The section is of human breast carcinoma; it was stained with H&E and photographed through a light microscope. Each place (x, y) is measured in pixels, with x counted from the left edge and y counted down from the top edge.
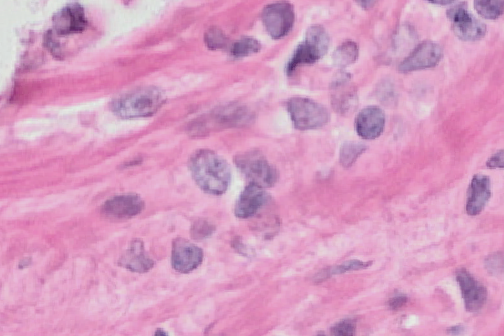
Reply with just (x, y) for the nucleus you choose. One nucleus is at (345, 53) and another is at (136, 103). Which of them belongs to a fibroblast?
(136, 103)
